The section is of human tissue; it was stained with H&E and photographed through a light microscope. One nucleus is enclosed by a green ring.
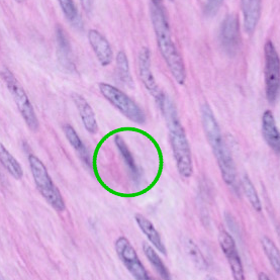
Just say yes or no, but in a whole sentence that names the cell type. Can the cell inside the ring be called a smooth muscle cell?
Yes, what the cell inside the ring represents in this tissue is a smooth muscle cell.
